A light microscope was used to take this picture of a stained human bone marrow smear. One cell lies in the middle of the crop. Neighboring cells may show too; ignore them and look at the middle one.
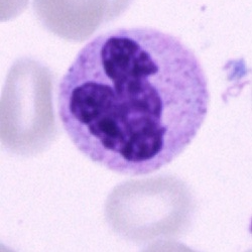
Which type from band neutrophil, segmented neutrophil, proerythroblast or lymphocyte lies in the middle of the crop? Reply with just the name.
segmented neutrophil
